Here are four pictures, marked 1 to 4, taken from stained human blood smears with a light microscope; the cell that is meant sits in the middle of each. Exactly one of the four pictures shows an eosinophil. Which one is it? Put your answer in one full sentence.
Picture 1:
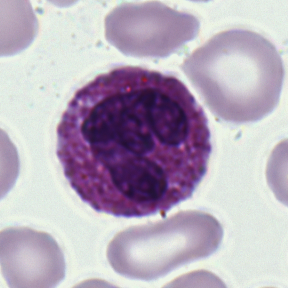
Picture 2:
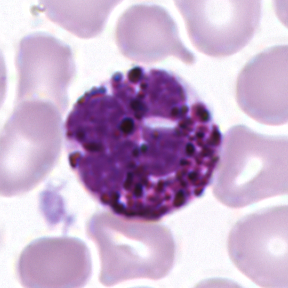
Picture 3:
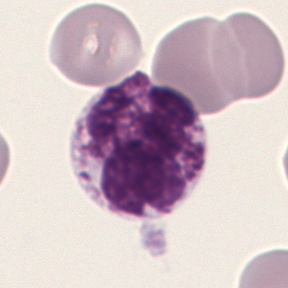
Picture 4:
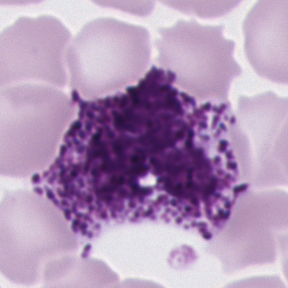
The cell in picture 1 is the eosinophil.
